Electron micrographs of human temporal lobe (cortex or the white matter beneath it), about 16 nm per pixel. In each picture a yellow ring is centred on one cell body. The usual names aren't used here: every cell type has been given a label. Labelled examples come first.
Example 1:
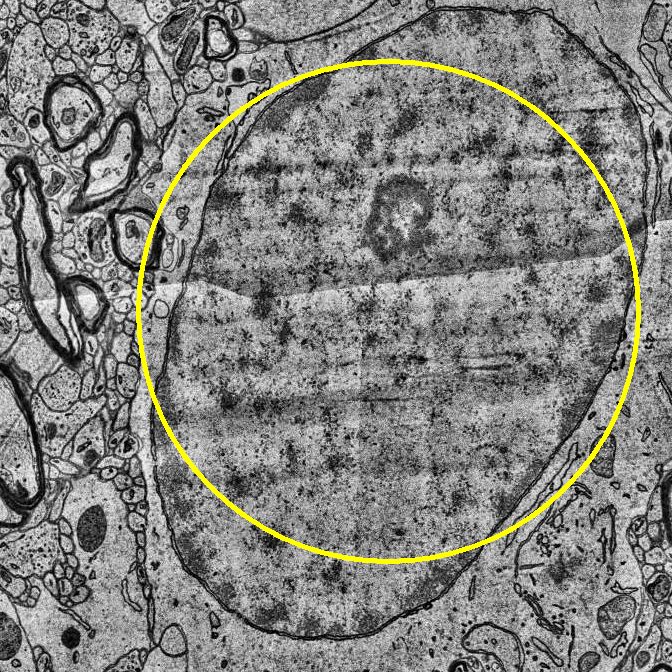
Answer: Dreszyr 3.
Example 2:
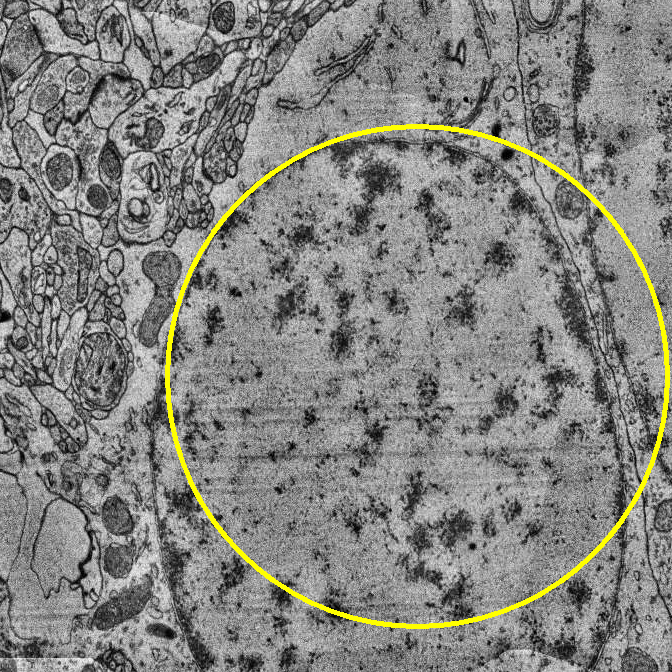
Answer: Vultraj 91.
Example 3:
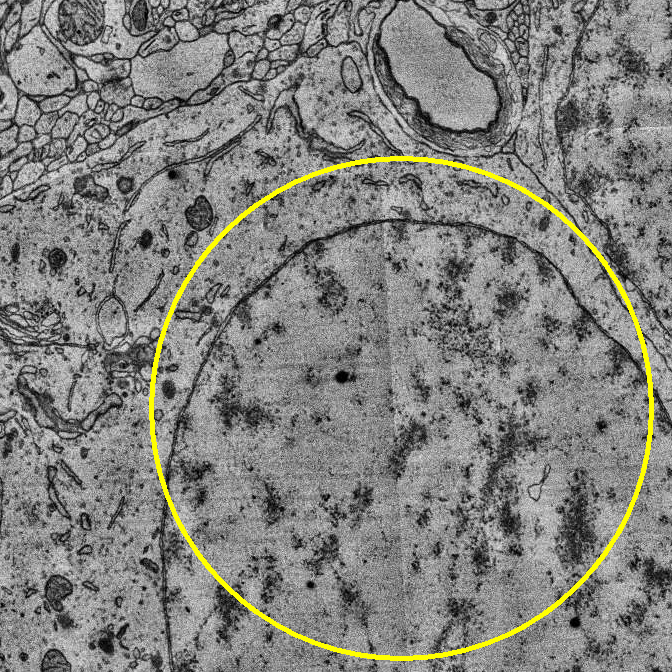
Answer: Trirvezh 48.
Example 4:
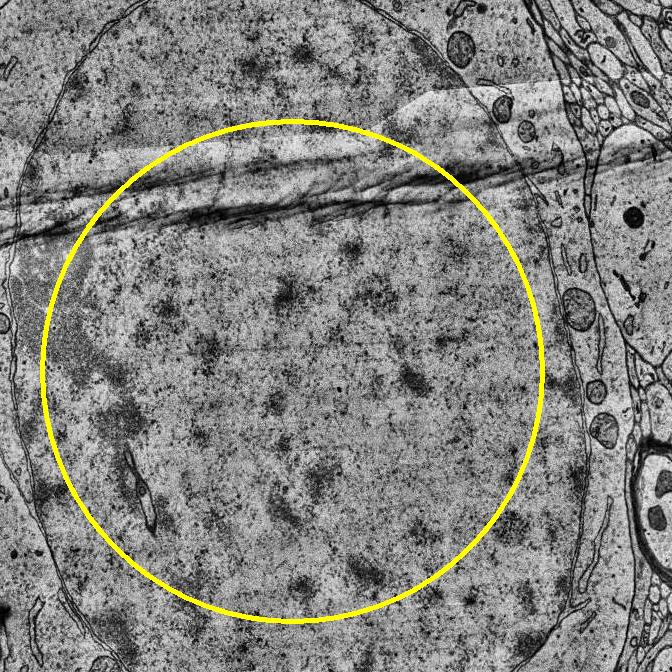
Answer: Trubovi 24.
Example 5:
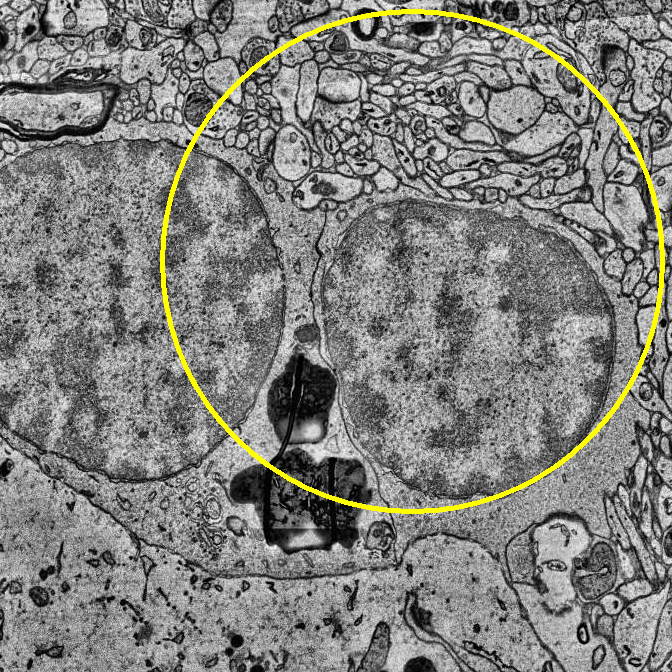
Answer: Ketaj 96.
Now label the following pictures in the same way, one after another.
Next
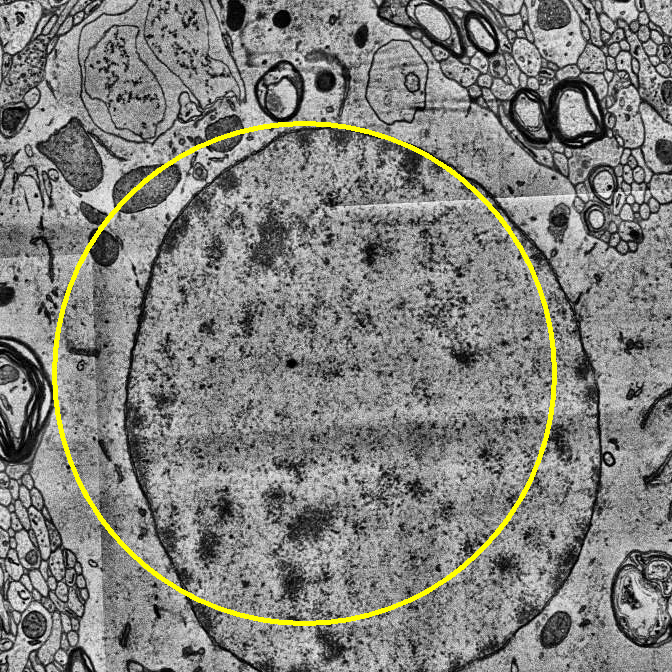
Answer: Vultraj 91.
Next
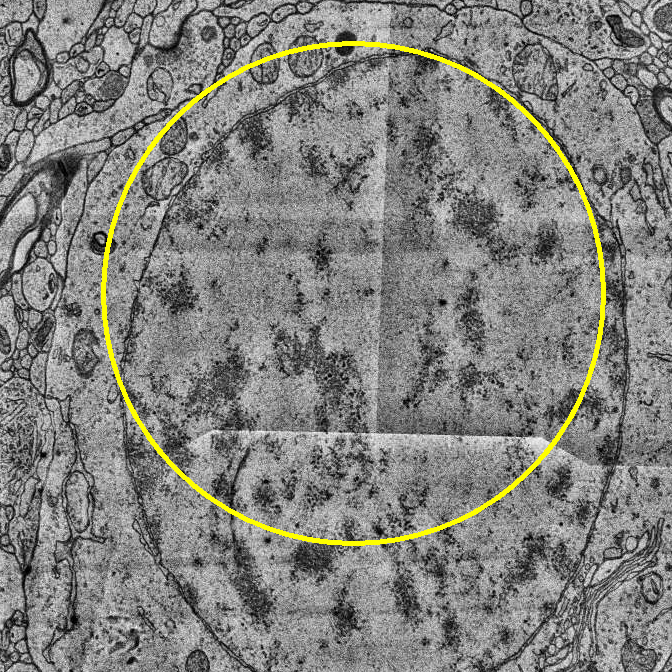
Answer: Trirvezh 48.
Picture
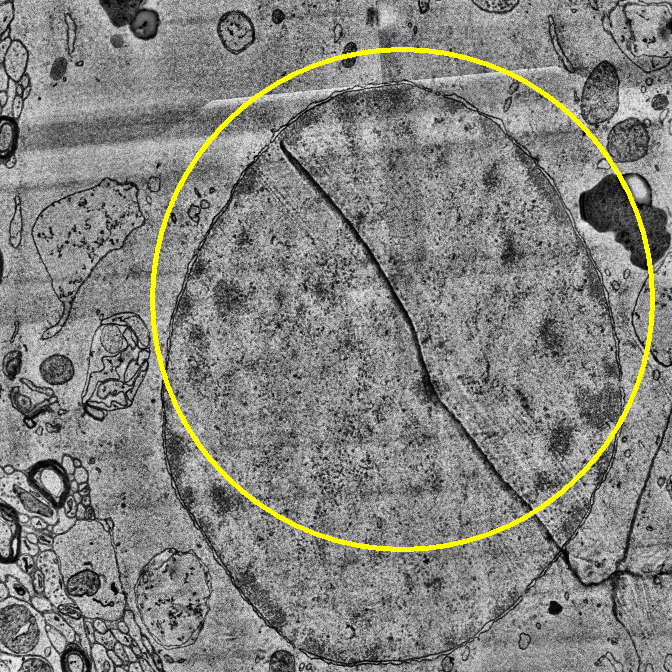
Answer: Vultraj 91.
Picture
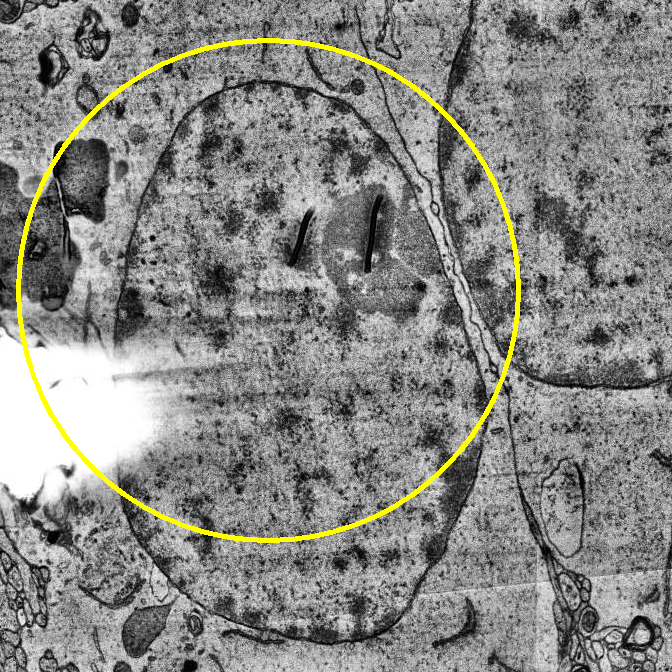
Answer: Vultraj 91.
